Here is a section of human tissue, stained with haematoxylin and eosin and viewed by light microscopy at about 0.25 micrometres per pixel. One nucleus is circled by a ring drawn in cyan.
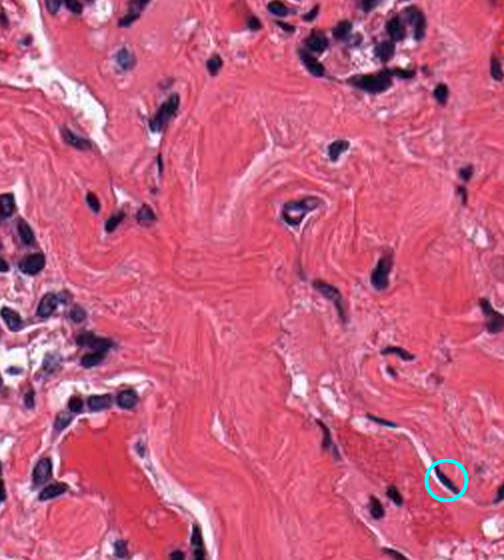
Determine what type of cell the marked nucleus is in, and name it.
endothelial cell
